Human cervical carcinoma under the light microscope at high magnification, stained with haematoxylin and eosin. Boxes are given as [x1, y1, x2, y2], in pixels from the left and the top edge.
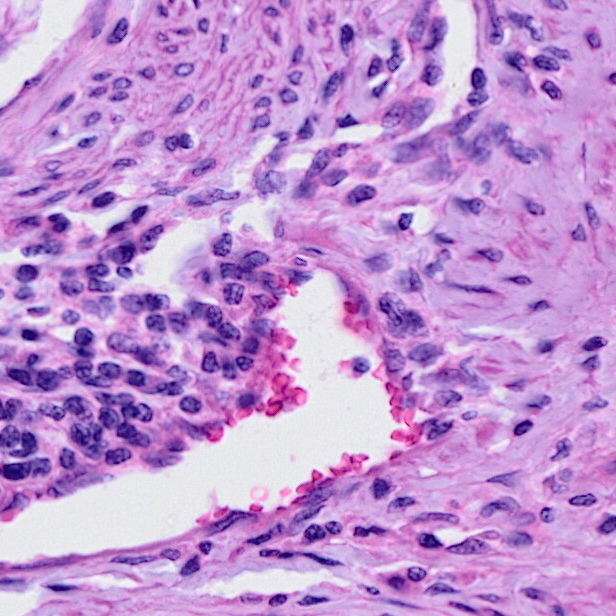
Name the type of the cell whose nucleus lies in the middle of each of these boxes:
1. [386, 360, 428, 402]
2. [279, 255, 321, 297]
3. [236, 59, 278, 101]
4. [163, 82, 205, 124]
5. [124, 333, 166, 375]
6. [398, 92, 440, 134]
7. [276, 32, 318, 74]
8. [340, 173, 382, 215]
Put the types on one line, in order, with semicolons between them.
endothelial cell; endothelial cell; smooth muscle cell; smooth muscle cell; lymphocyte; endothelial cell; smooth muscle cell; lymphocyte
